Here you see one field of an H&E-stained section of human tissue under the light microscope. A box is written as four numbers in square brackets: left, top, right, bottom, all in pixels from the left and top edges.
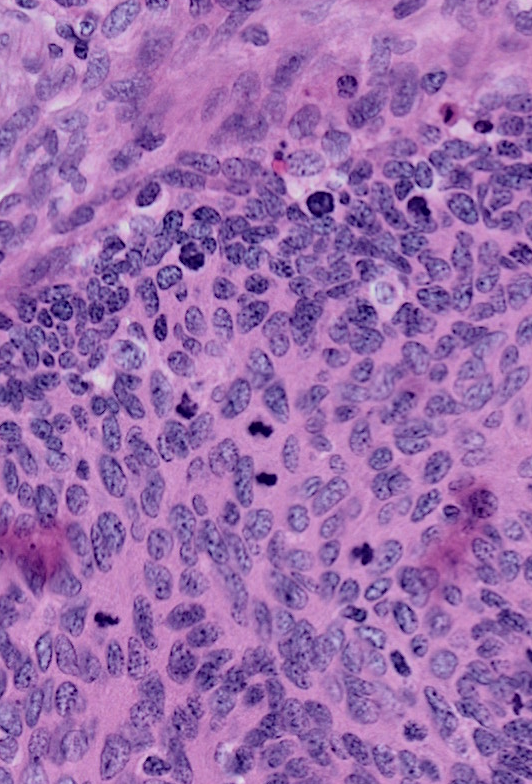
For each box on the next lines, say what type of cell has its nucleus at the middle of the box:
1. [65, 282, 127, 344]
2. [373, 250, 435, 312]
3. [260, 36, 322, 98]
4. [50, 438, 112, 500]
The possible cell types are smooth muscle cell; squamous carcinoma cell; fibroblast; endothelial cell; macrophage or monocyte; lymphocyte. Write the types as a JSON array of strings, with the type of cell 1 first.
["squamous carcinoma cell", "squamous carcinoma cell", "fibroblast", "squamous carcinoma cell"]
